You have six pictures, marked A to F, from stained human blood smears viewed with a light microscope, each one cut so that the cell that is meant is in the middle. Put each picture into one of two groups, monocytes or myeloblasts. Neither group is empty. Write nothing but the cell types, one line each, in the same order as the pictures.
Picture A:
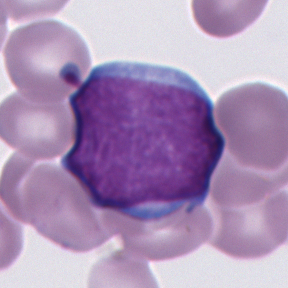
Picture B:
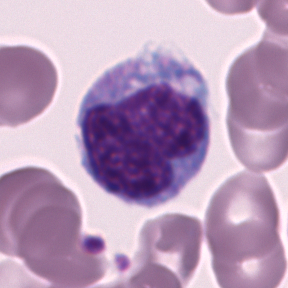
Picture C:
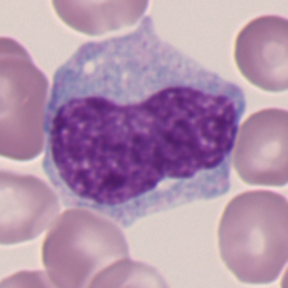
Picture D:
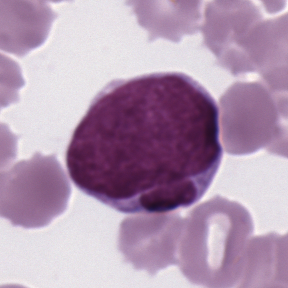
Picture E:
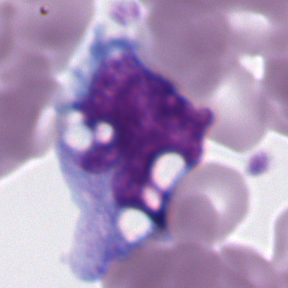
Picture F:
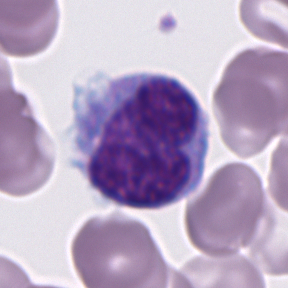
myeloblast
monocyte
monocyte
myeloblast
monocyte
monocyte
